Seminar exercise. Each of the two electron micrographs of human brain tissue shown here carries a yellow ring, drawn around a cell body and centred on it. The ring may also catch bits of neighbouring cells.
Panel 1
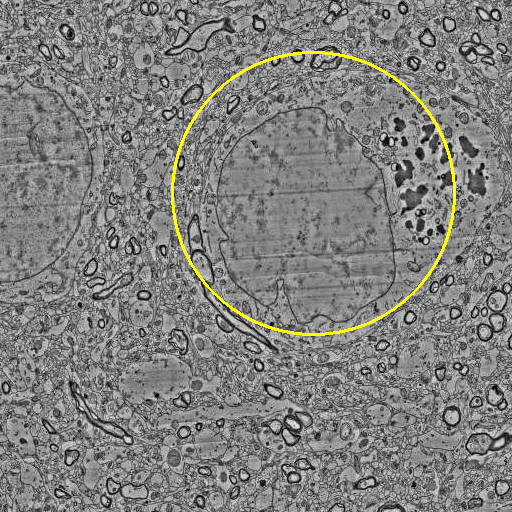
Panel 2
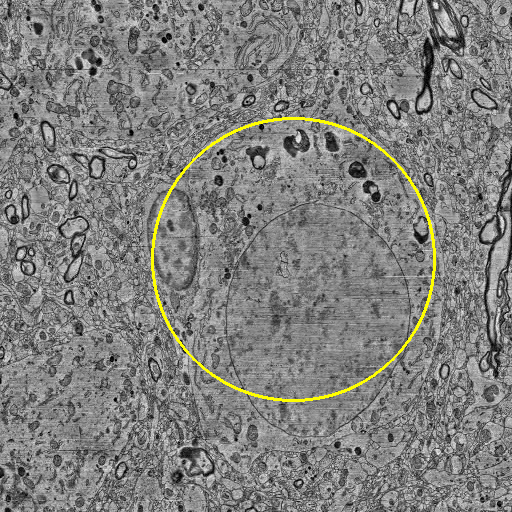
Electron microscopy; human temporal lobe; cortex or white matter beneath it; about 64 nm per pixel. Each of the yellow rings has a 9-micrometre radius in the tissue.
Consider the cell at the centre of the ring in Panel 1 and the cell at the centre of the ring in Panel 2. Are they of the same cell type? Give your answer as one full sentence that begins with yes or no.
Yes, both cells are of the same type.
